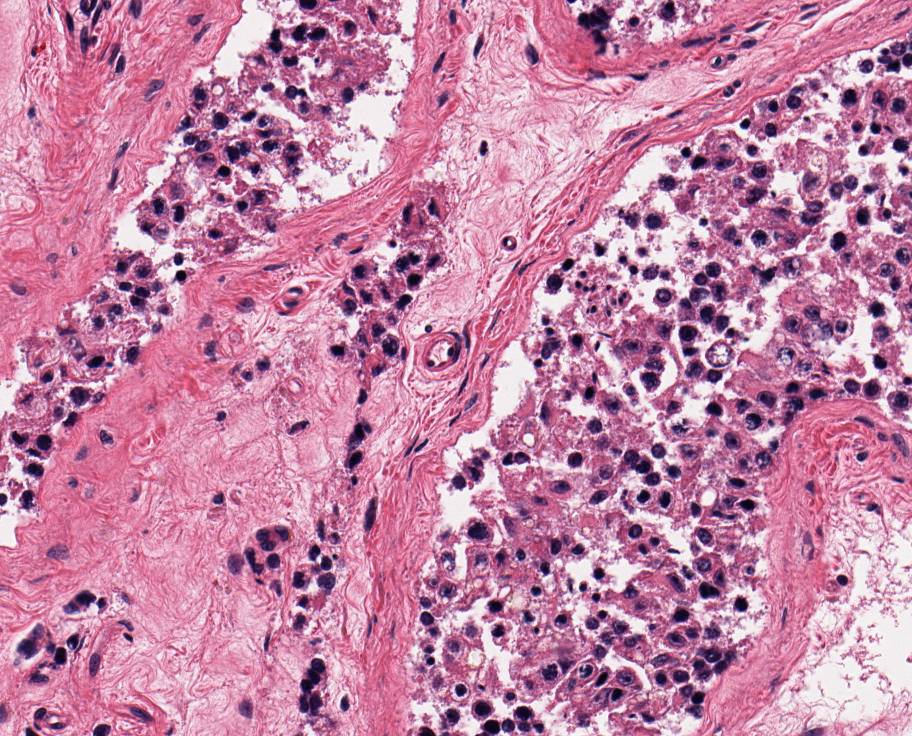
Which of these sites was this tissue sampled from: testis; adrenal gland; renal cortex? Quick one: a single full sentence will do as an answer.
The tissue studied in this section came from the testis.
